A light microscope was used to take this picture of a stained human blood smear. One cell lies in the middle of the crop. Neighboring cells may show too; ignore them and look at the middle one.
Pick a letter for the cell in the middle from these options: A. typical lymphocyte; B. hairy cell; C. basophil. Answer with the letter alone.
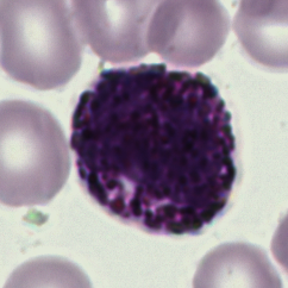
C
